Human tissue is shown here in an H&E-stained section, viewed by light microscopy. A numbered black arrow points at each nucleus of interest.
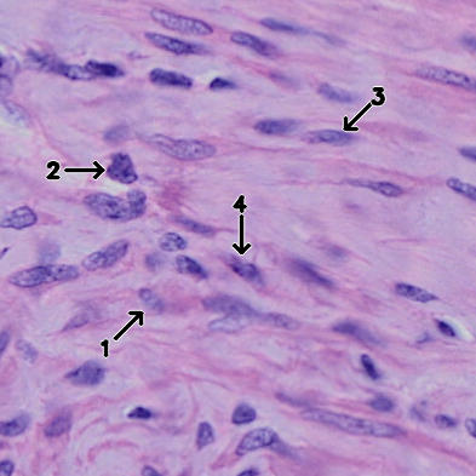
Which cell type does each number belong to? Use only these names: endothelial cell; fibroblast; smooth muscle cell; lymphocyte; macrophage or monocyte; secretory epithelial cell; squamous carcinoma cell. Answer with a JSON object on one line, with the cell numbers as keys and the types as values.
{"1": "smooth muscle cell", "2": "lymphocyte", "3": "smooth muscle cell", "4": "smooth muscle cell"}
